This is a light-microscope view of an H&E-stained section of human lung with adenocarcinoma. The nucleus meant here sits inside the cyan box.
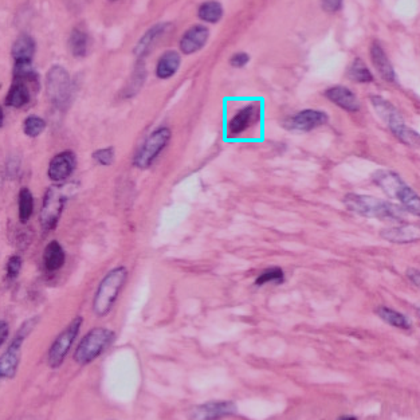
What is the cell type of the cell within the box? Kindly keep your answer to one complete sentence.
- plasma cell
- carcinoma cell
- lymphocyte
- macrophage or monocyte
Histopathologically, the cell within the box is a plasma cell.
